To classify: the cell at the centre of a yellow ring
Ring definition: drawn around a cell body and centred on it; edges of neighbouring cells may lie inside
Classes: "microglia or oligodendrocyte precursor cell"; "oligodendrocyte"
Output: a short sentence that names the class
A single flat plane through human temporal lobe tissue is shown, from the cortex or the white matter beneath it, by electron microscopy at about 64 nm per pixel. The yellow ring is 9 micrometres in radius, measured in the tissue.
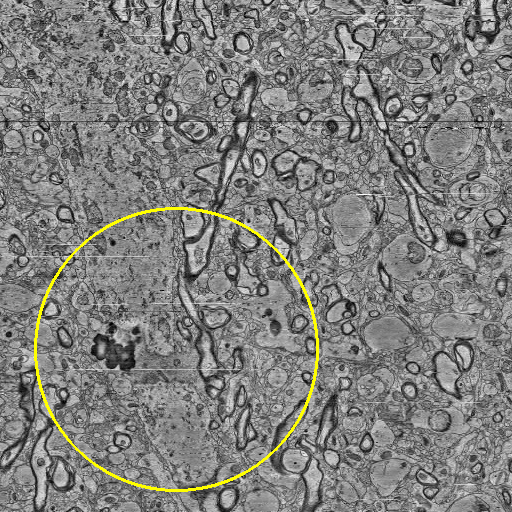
The ringed cell is an oligodendrocyte.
